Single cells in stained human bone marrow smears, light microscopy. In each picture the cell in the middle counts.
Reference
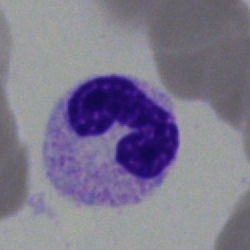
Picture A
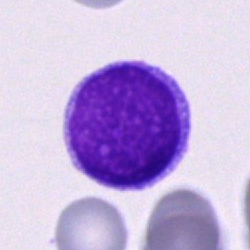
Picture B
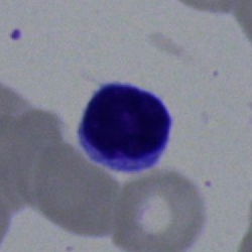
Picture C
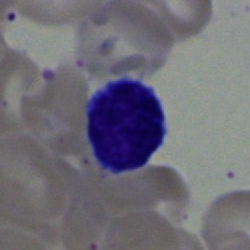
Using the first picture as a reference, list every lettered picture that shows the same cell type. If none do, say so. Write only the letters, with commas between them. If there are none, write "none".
none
